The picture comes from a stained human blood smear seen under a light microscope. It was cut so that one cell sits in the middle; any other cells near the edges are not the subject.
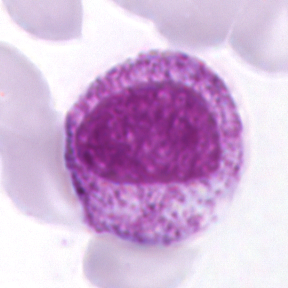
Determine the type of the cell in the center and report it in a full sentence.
Here the centrally located cell is a myelocyte.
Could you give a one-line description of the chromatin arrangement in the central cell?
No coarse chromatin clumps are present; the pattern is fine.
